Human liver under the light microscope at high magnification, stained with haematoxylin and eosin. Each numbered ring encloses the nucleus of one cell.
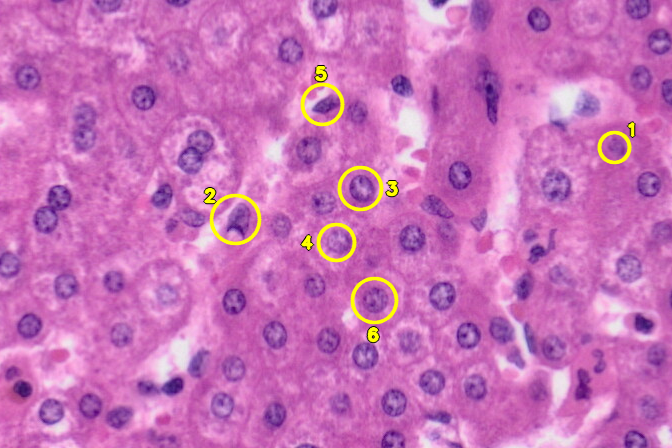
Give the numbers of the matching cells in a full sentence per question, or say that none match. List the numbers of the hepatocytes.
The cells tagged with numbers 1, 3, 4 and 6 are hepatocytes.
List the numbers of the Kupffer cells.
Just one of the numbered cells is a Kupffer cell, namely number 2.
